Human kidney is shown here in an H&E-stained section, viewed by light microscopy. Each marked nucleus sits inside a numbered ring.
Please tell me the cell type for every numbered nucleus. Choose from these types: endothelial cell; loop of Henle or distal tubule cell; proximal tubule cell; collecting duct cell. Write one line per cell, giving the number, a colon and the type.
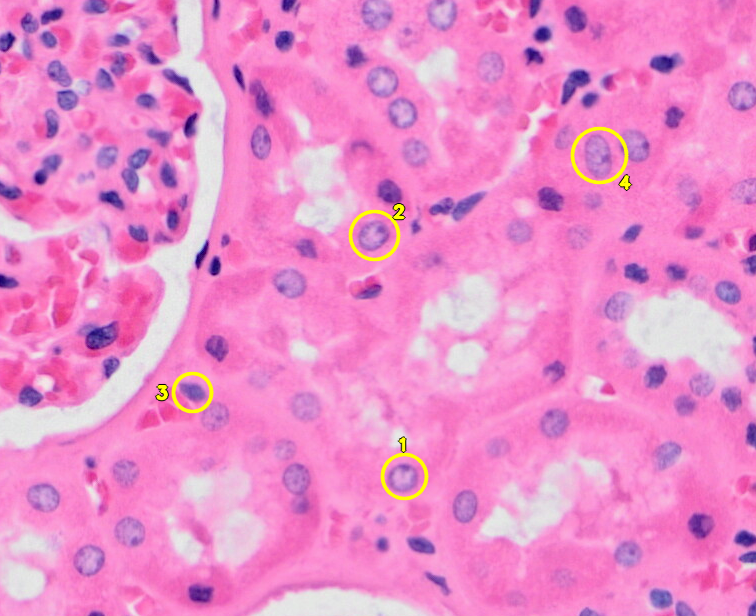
1: proximal tubule cell
2: proximal tubule cell
3: endothelial cell
4: proximal tubule cell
